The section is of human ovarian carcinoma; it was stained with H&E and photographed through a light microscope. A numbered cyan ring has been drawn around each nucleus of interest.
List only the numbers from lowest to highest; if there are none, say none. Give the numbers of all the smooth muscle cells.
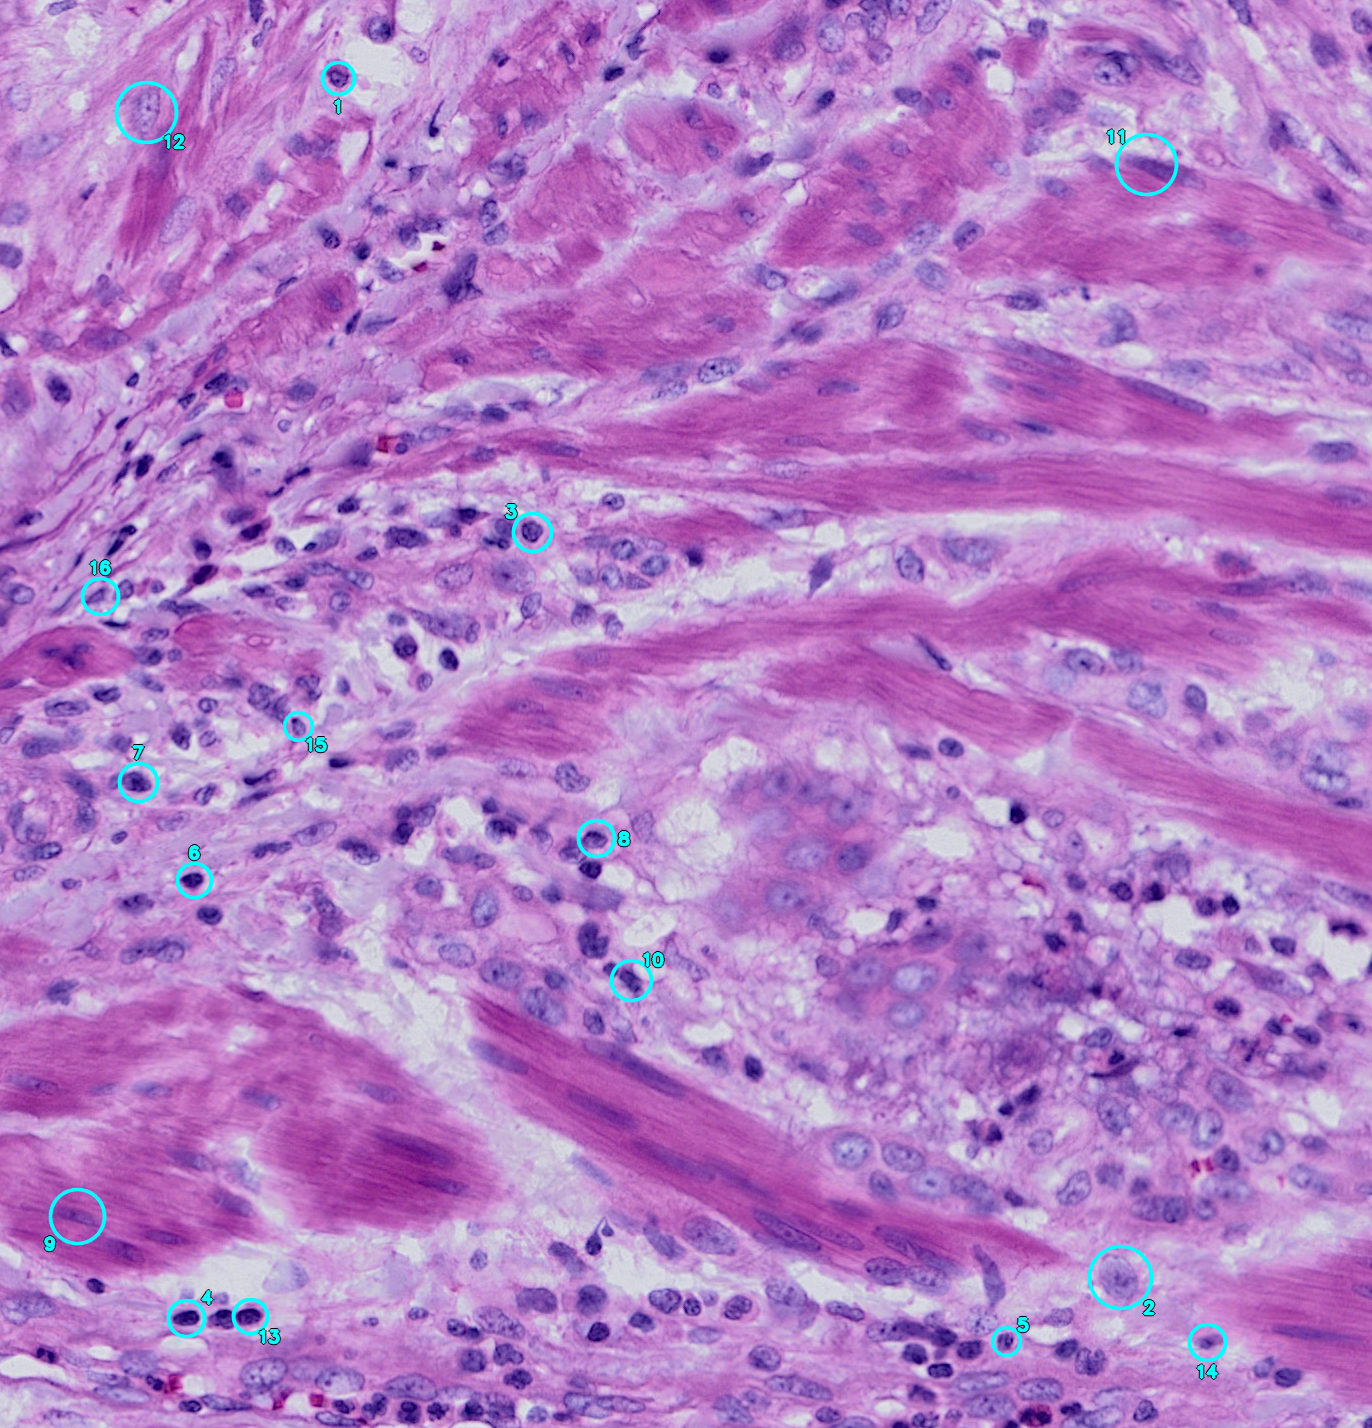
9, 11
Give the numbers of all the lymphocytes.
3, 4, 5, 6, 7, 8, 10, 13, 15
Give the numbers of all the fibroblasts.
2, 12, 16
